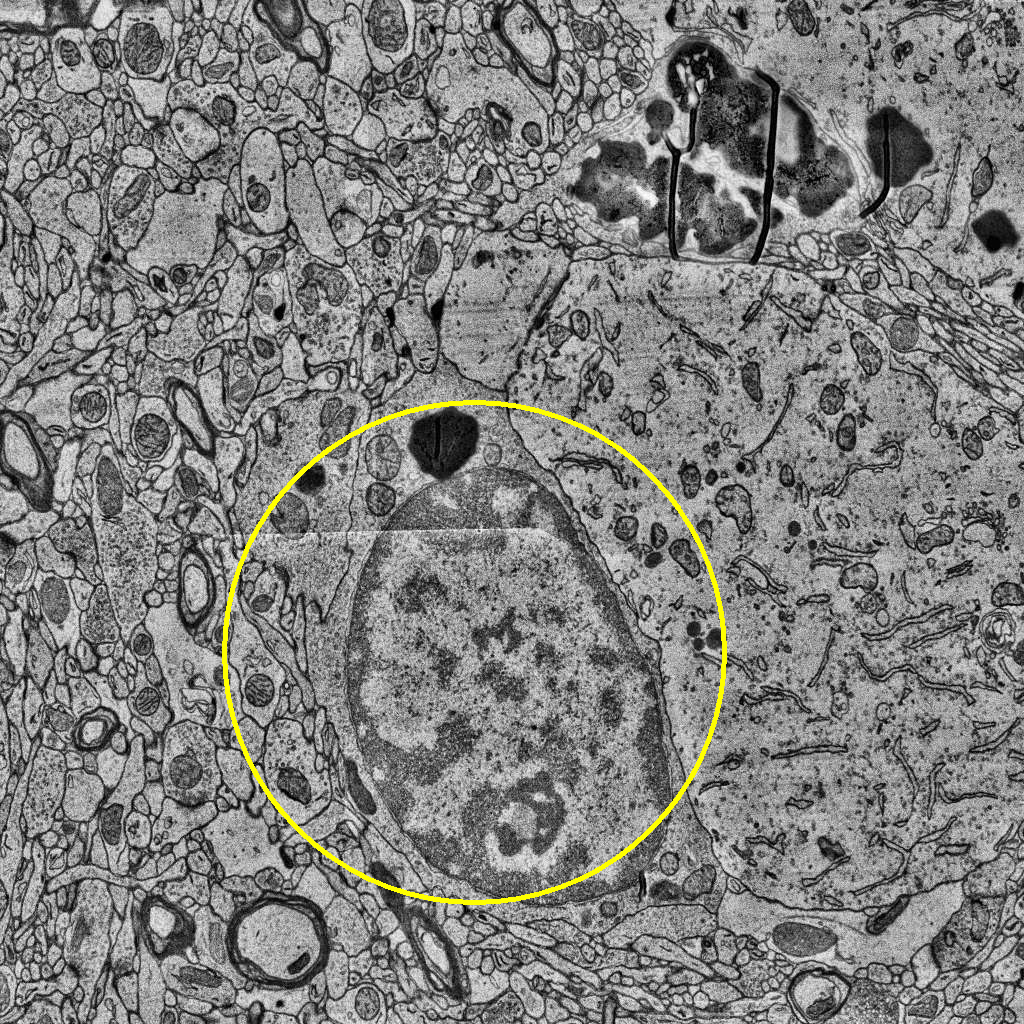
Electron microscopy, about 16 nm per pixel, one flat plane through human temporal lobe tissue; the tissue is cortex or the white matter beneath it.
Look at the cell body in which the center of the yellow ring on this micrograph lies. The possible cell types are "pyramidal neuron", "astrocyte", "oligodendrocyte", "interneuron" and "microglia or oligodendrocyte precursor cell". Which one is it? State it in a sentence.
The cell at the middle of the ring is an oligodendrocyte.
